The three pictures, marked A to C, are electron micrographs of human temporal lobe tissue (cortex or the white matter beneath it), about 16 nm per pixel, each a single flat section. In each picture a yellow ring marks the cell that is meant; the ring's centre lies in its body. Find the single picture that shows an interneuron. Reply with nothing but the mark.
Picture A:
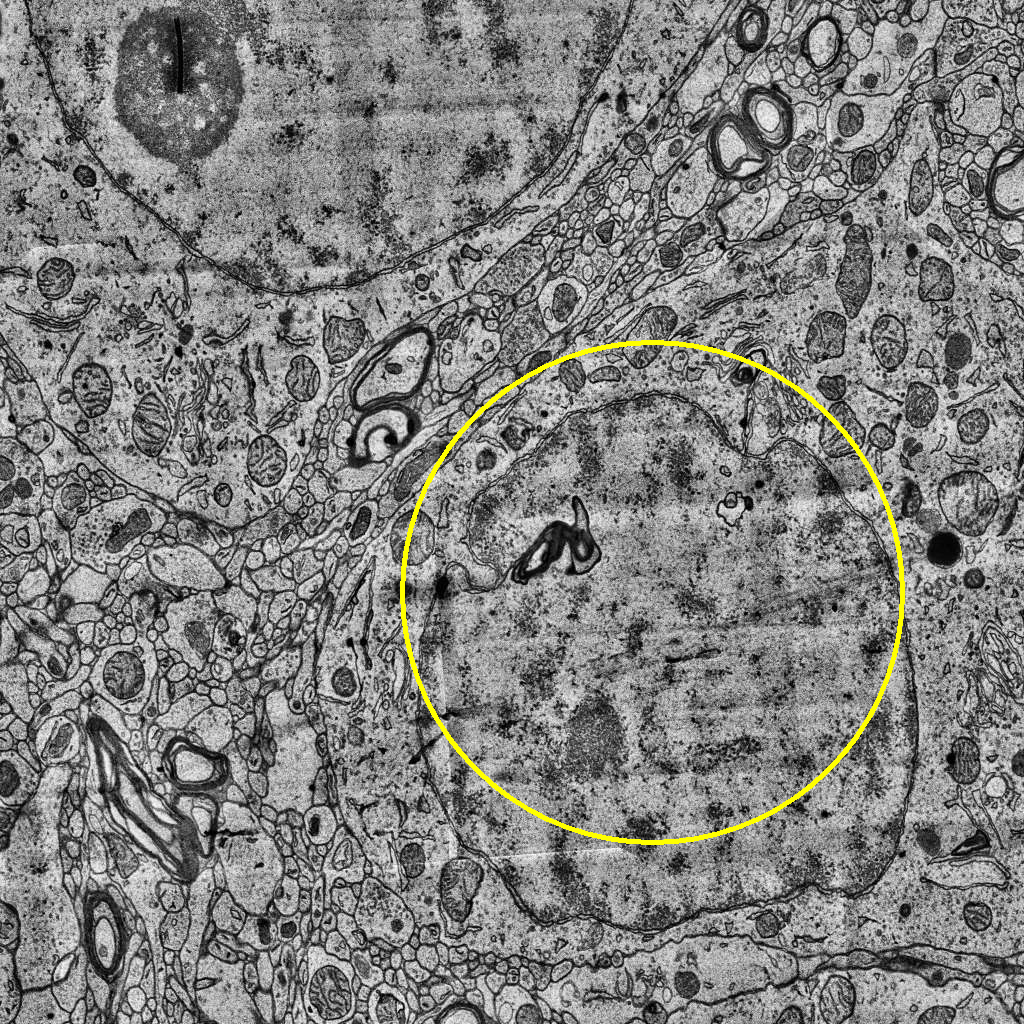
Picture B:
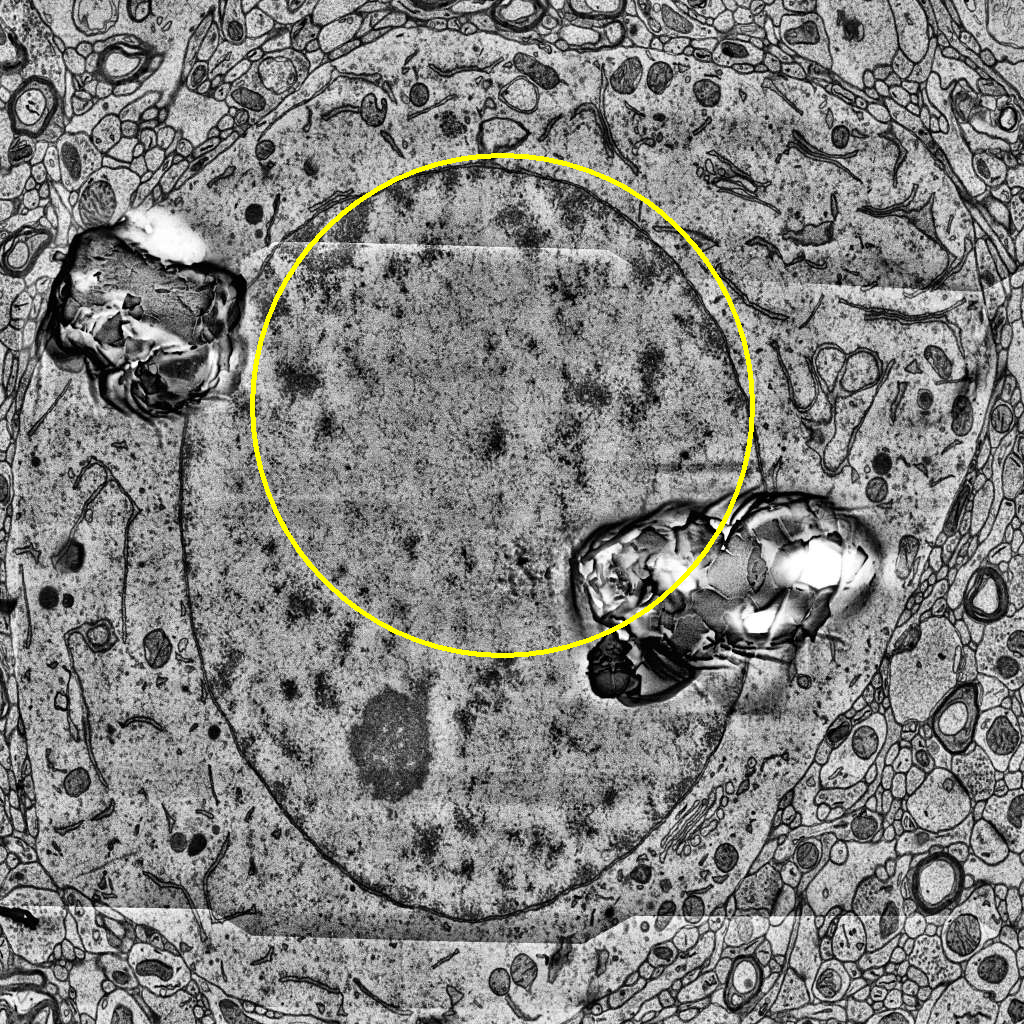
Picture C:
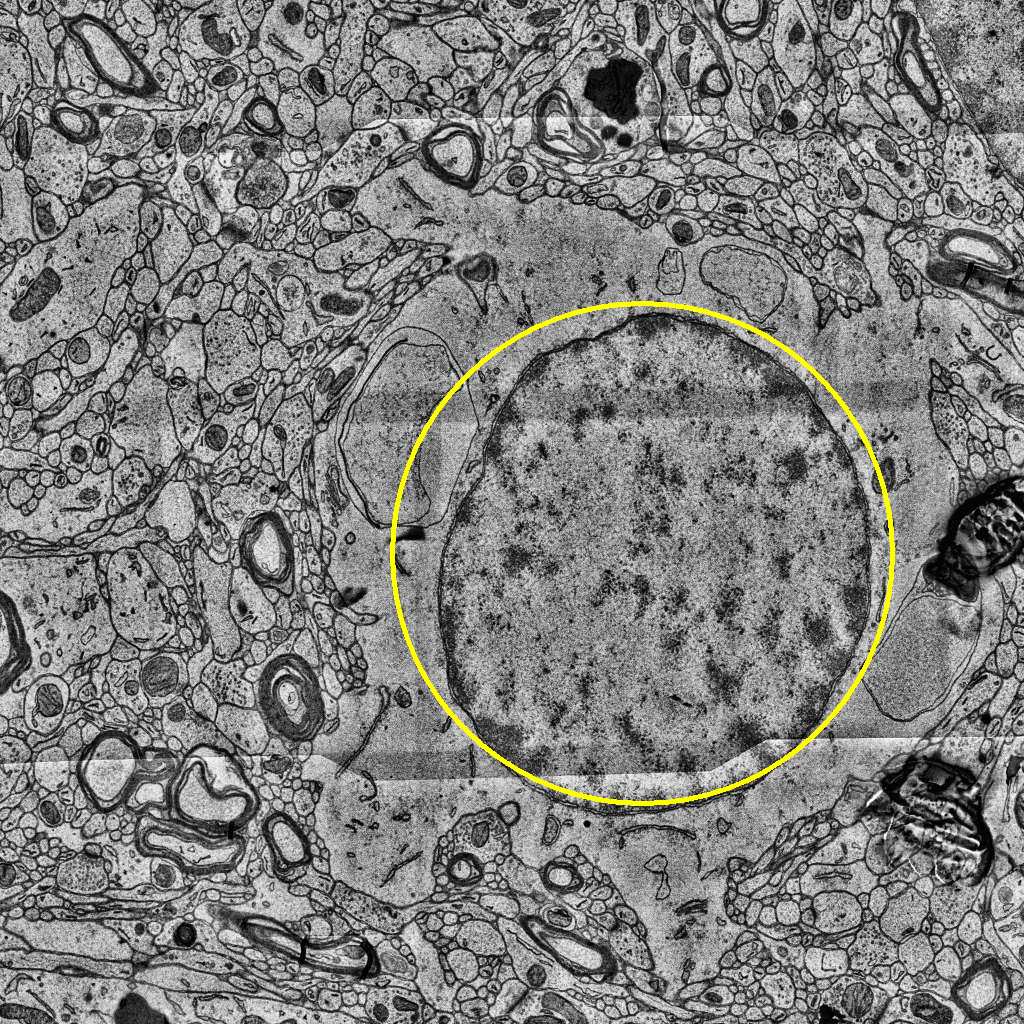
A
